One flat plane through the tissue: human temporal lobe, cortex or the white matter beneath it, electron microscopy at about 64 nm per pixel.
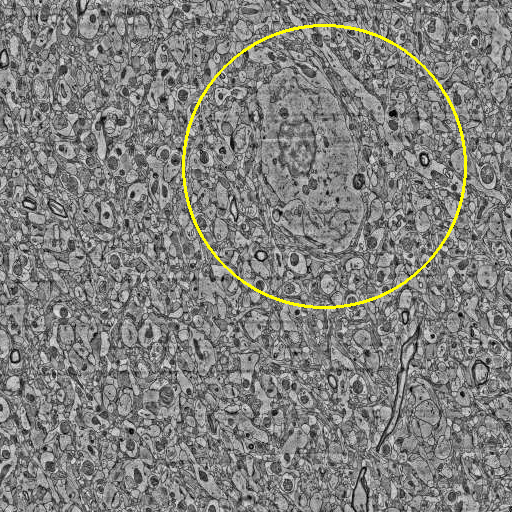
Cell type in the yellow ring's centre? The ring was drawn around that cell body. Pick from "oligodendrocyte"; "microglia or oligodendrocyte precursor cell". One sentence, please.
The ringed cell body is that of an oligodendrocyte.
